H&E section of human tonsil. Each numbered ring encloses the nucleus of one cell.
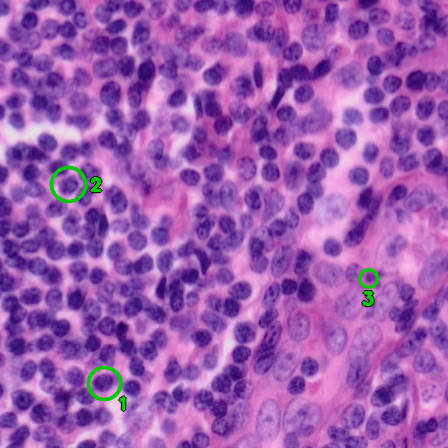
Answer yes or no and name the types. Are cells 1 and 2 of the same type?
Yes, the cell labelled 1 and the cell labelled 2 are both small lymphocytes.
